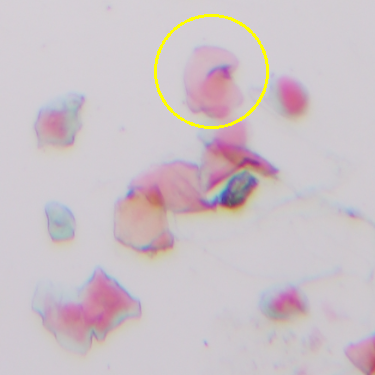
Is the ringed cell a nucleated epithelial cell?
No, it is a cornified epithelial cell.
